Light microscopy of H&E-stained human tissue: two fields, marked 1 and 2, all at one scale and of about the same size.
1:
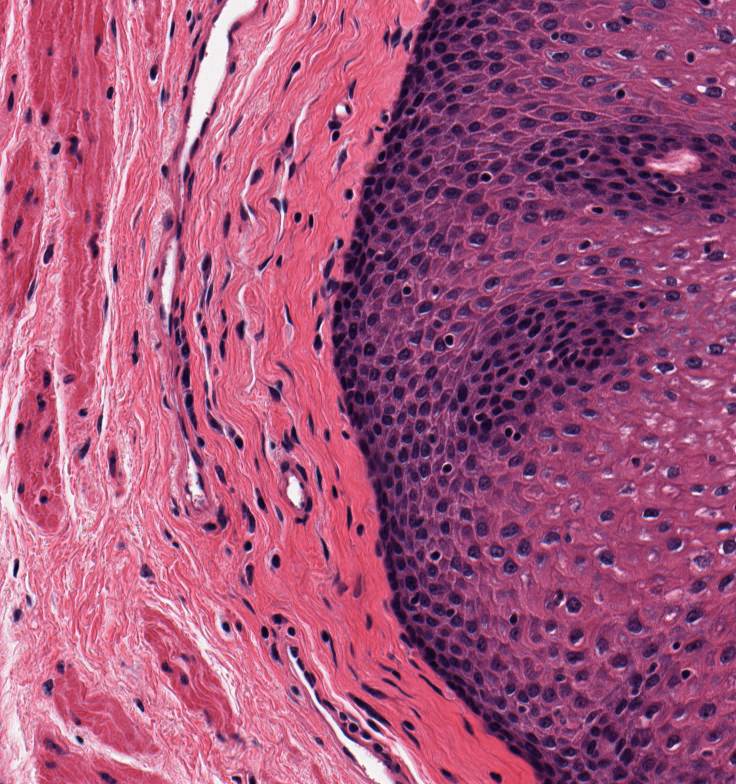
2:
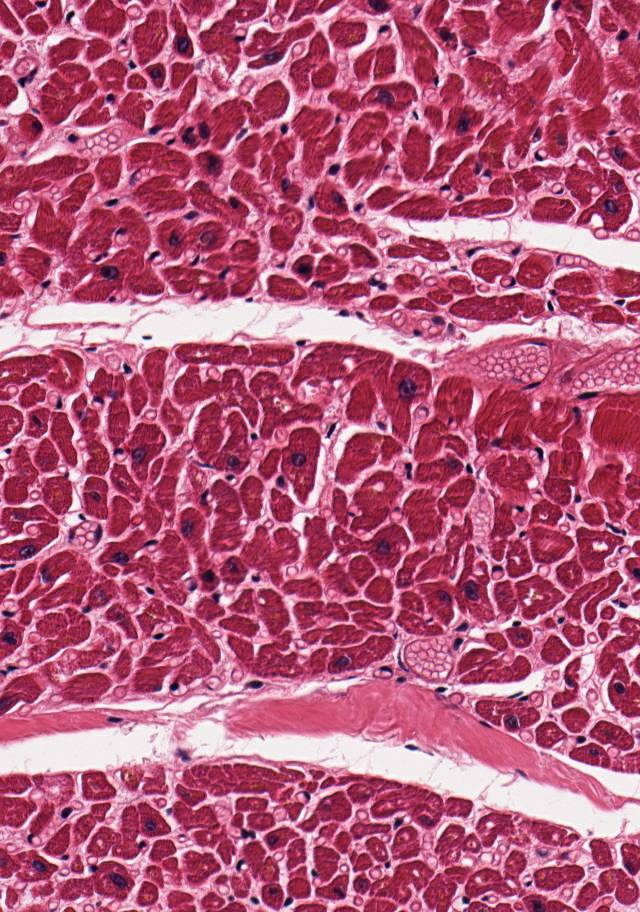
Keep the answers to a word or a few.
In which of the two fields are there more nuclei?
1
